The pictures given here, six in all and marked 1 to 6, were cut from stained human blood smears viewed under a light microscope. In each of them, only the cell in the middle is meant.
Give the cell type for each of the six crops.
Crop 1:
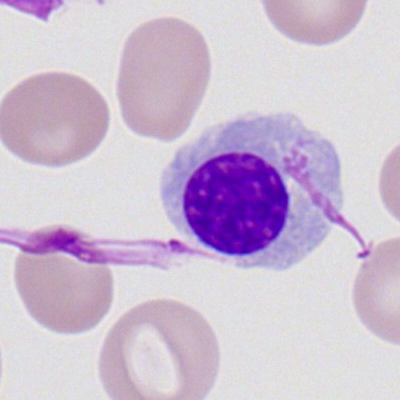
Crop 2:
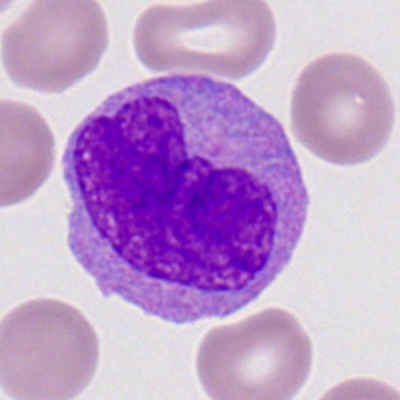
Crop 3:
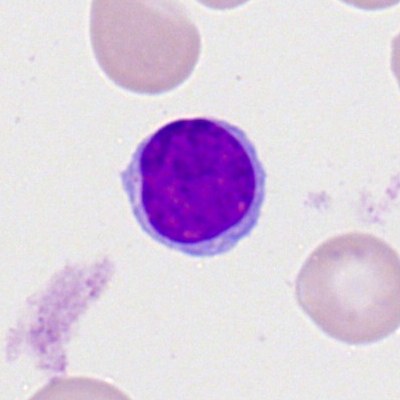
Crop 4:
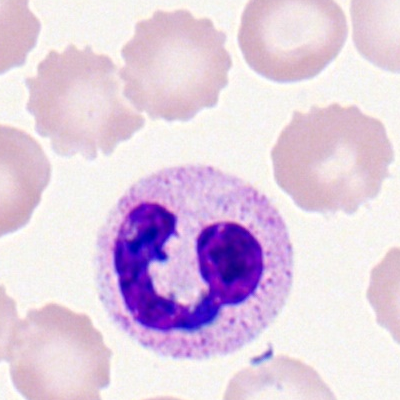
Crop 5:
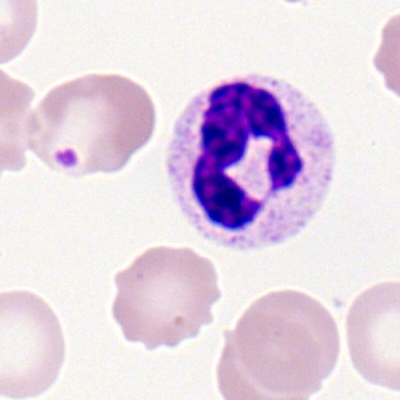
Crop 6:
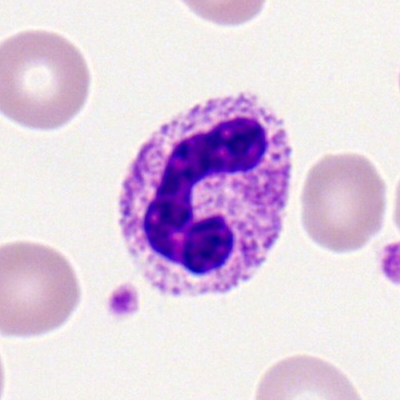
1: normoblast
2: monocyte
3: lymphocyte
4: segmented neutrophil
5: segmented neutrophil
6: band neutrophil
